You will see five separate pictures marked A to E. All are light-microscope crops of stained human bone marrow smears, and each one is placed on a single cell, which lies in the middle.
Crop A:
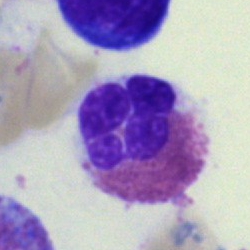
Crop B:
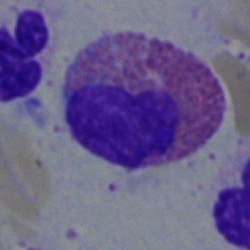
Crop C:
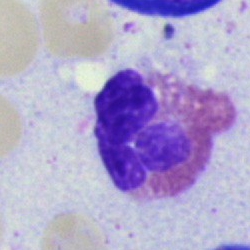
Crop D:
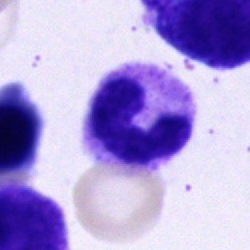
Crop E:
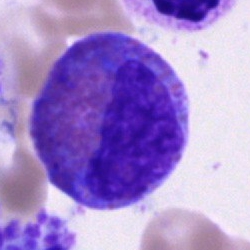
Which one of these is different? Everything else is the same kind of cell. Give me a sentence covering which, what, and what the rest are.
Crop D is the one to flag: it is a band neutrophil, and the rest show eosinophils.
